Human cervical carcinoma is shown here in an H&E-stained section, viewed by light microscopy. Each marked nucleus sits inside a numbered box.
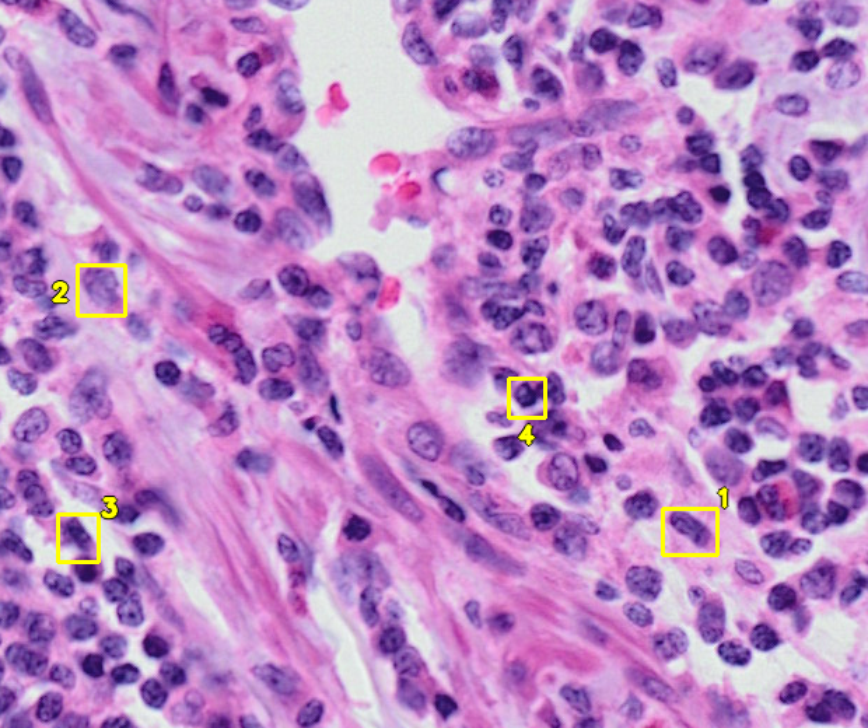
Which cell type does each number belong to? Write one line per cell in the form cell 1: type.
cell 1: lymphocyte
cell 2: macrophage or monocyte
cell 3: lymphocyte
cell 4: lymphocyte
